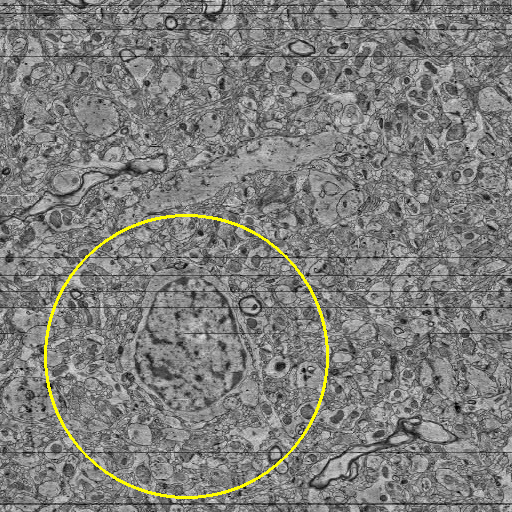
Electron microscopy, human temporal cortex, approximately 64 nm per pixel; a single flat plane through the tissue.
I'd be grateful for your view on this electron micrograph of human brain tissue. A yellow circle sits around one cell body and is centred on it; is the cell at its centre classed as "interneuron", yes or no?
no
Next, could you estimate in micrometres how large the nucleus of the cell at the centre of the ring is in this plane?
Approximately 9 x 7 micrometres in this plane.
